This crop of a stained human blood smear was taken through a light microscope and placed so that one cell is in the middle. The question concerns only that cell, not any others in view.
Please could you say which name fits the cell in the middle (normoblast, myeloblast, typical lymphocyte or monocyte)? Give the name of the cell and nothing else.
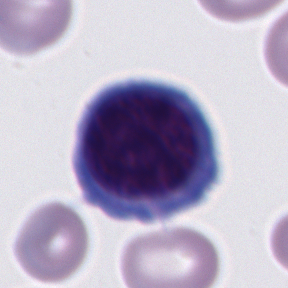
normoblast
